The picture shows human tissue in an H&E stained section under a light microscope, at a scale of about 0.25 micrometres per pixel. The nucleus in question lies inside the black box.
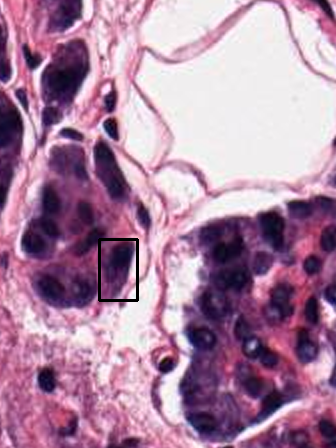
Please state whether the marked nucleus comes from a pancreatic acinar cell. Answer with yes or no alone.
yes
